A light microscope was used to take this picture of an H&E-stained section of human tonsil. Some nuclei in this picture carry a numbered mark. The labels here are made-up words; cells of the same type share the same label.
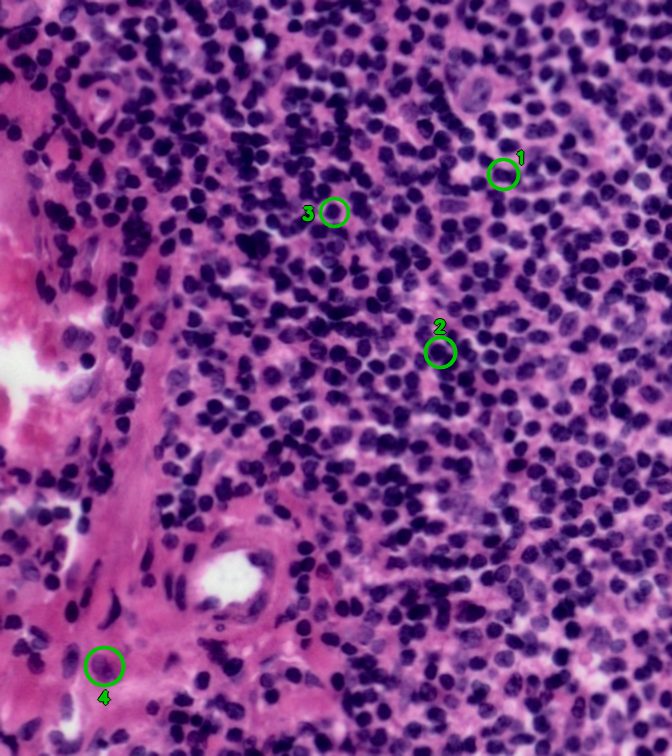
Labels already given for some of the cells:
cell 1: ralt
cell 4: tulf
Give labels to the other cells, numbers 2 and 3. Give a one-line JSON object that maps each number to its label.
{"2": "ralt", "3": "ralt"}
